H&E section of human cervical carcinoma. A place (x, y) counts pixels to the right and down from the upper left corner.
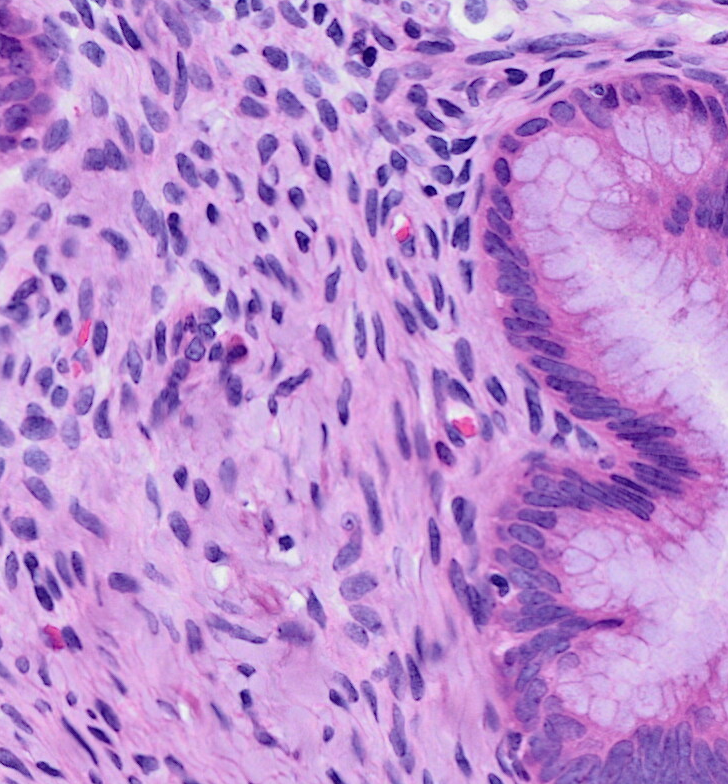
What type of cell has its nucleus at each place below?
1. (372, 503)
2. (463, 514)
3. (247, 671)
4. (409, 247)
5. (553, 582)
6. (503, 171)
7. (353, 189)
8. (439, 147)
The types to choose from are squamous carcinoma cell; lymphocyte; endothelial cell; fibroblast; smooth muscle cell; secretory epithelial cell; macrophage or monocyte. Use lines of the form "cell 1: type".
cell 1: fibroblast
cell 2: fibroblast
cell 3: fibroblast
cell 4: endothelial cell
cell 5: secretory epithelial cell
cell 6: secretory epithelial cell
cell 7: fibroblast
cell 8: fibroblast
